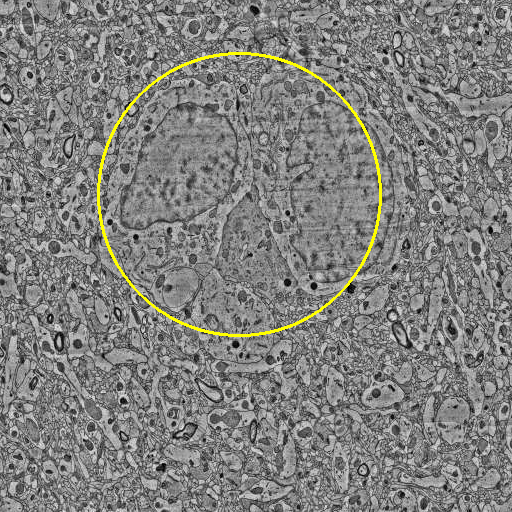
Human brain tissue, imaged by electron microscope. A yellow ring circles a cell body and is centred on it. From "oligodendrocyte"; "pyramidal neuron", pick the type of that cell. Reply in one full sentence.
The cell body at the centre of the yellow ring belongs to an oligodendrocyte.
